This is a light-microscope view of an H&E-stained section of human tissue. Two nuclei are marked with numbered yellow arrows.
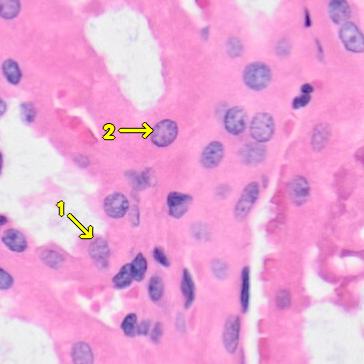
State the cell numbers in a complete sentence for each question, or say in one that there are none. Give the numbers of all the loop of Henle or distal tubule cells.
Among the marked cells, a loop of Henle or distal tubule cell is found only at number 1.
